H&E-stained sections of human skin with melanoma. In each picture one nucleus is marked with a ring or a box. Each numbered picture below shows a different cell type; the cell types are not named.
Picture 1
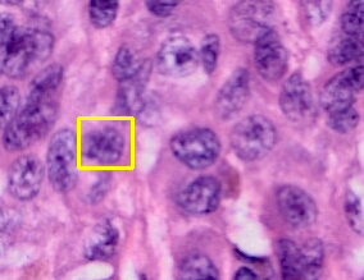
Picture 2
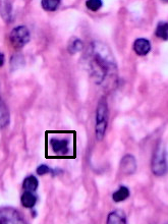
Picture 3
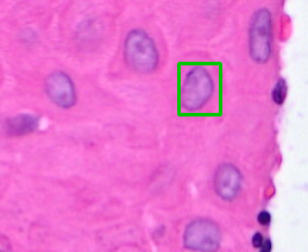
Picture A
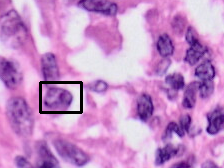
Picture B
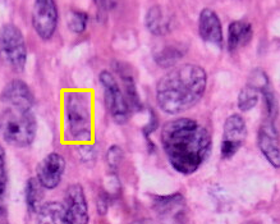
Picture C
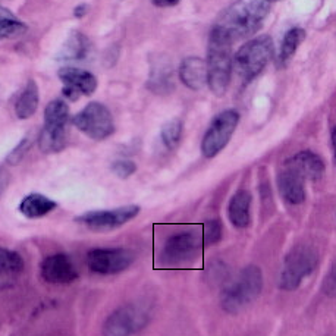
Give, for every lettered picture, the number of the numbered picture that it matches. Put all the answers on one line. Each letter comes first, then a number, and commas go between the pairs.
A 1, B 1, C 3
